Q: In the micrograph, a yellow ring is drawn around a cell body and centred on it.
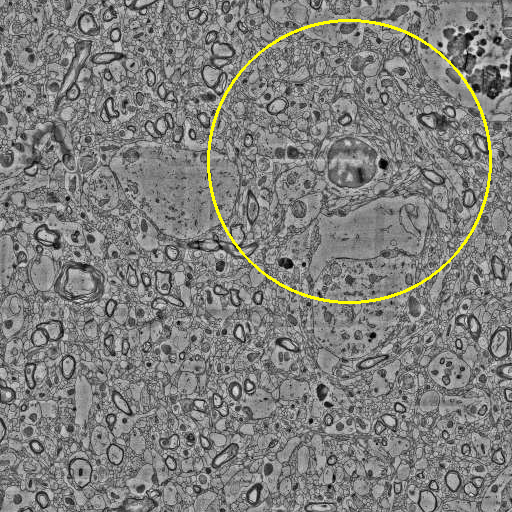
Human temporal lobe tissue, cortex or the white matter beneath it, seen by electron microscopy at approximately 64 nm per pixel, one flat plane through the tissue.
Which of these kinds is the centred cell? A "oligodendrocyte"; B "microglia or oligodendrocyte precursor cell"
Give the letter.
B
